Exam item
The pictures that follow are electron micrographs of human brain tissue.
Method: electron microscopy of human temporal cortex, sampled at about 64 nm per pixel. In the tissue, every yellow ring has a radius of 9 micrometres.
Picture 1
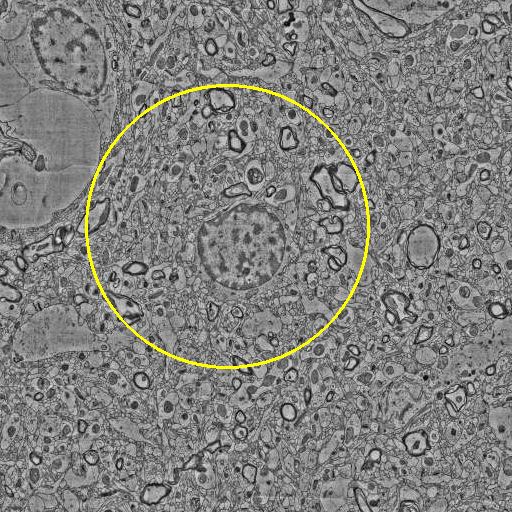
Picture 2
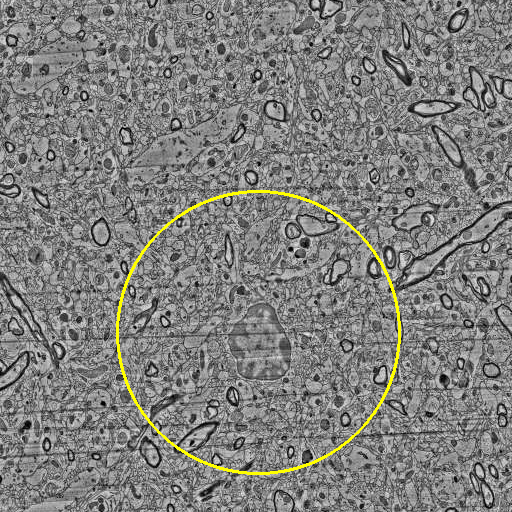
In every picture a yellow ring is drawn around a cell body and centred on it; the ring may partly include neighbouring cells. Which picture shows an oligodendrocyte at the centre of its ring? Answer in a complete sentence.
The cell at the centre of the ring in Picture 1 is the one asked for.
